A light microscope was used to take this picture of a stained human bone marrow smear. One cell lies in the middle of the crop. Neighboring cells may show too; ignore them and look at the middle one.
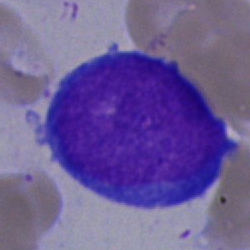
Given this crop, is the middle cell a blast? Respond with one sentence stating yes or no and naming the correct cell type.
Yes, the cell of interest in the centre is a blast.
